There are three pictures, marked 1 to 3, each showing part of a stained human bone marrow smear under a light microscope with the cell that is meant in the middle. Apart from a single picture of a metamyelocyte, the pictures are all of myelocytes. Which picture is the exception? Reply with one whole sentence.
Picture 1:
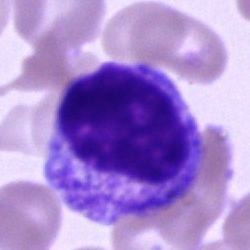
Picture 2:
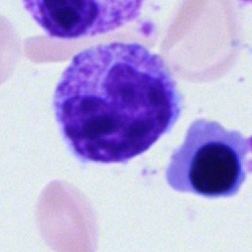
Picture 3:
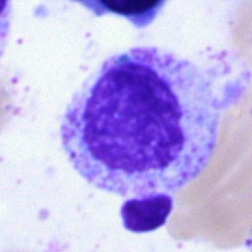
Picture 2 shows the metamyelocyte.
